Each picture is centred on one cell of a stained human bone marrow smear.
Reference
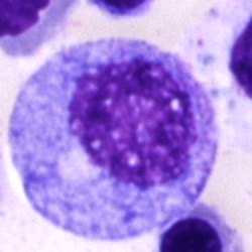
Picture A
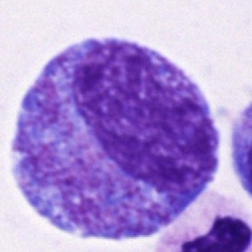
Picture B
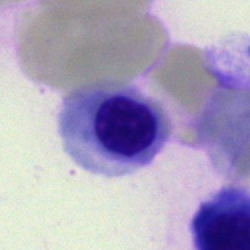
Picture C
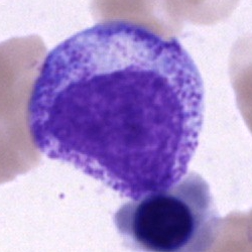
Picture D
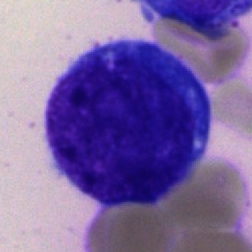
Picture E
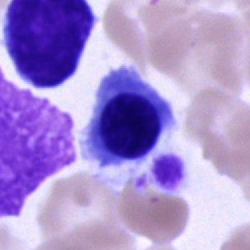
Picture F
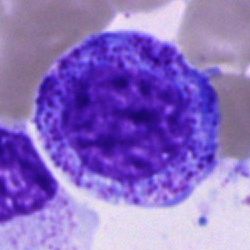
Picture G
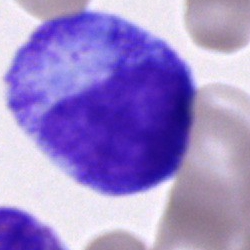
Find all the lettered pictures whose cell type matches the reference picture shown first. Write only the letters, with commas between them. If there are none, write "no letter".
A, C, F, G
